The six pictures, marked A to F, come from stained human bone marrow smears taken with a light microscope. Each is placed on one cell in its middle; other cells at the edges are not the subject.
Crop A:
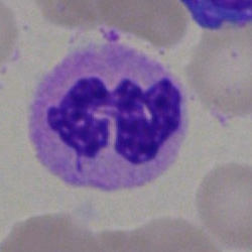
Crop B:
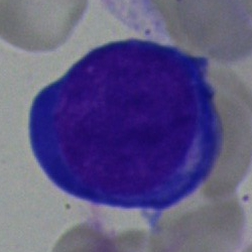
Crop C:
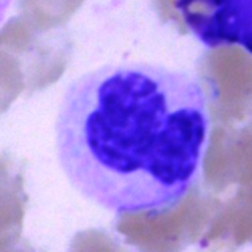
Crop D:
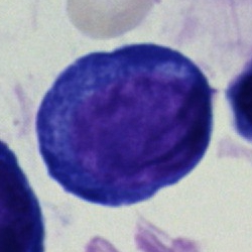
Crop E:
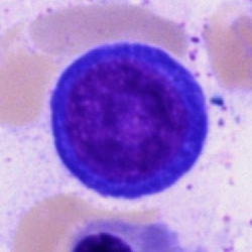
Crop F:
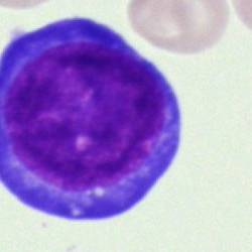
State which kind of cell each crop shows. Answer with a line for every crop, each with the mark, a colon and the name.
A: segmented neutrophil
B: proerythroblast
C: segmented neutrophil
D: proerythroblast
E: proerythroblast
F: proerythroblast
